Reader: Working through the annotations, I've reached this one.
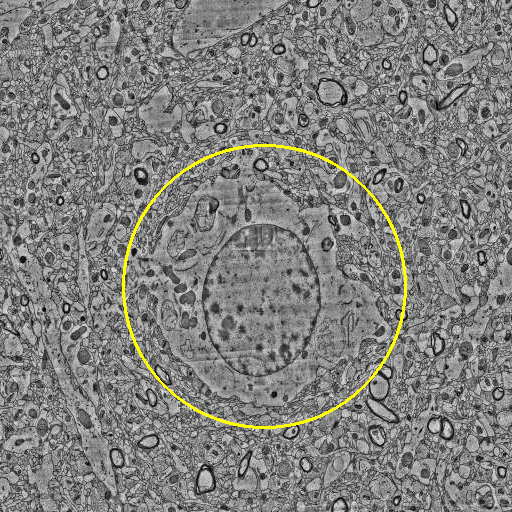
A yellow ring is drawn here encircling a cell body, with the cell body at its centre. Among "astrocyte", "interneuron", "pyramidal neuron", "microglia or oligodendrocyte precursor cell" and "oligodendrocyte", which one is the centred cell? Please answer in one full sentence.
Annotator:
The cell body at the centre of the yellow ring in this image belongs to an astrocyte.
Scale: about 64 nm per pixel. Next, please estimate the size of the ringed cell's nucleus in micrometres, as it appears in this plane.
Approximately 10 micrometres long and 8 micrometres wide, in this plane.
